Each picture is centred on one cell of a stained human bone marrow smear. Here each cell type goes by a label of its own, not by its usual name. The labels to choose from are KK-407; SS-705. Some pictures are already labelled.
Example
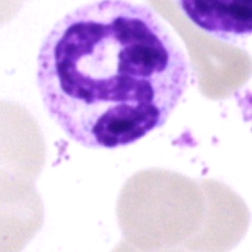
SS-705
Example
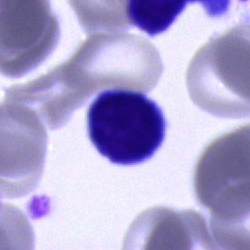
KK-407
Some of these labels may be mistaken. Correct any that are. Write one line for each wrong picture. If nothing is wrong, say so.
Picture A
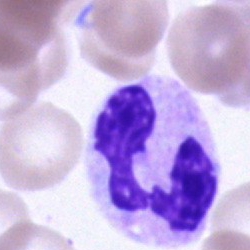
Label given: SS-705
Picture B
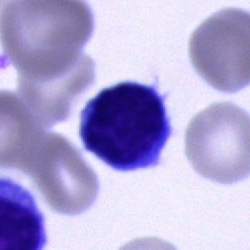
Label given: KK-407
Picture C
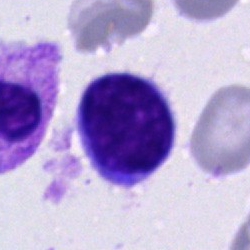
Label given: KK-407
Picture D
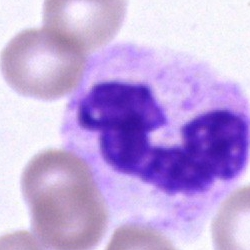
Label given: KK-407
D: not KK-407 but SS-705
